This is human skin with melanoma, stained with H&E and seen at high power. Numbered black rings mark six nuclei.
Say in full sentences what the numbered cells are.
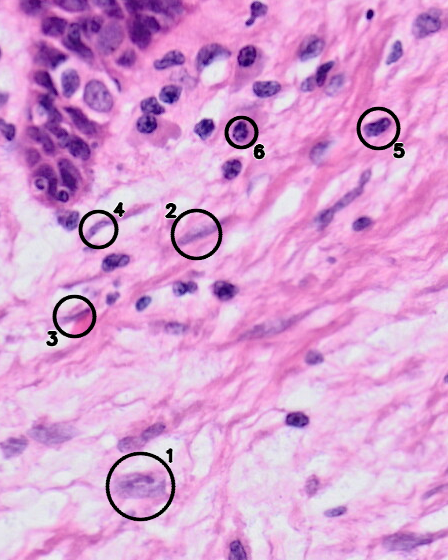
Cells 1, 2, 3 and 4 are fibroblasts or myofibroblasts. Cell 5 is a lymphocyte. Cell 6 is a plasma cell.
